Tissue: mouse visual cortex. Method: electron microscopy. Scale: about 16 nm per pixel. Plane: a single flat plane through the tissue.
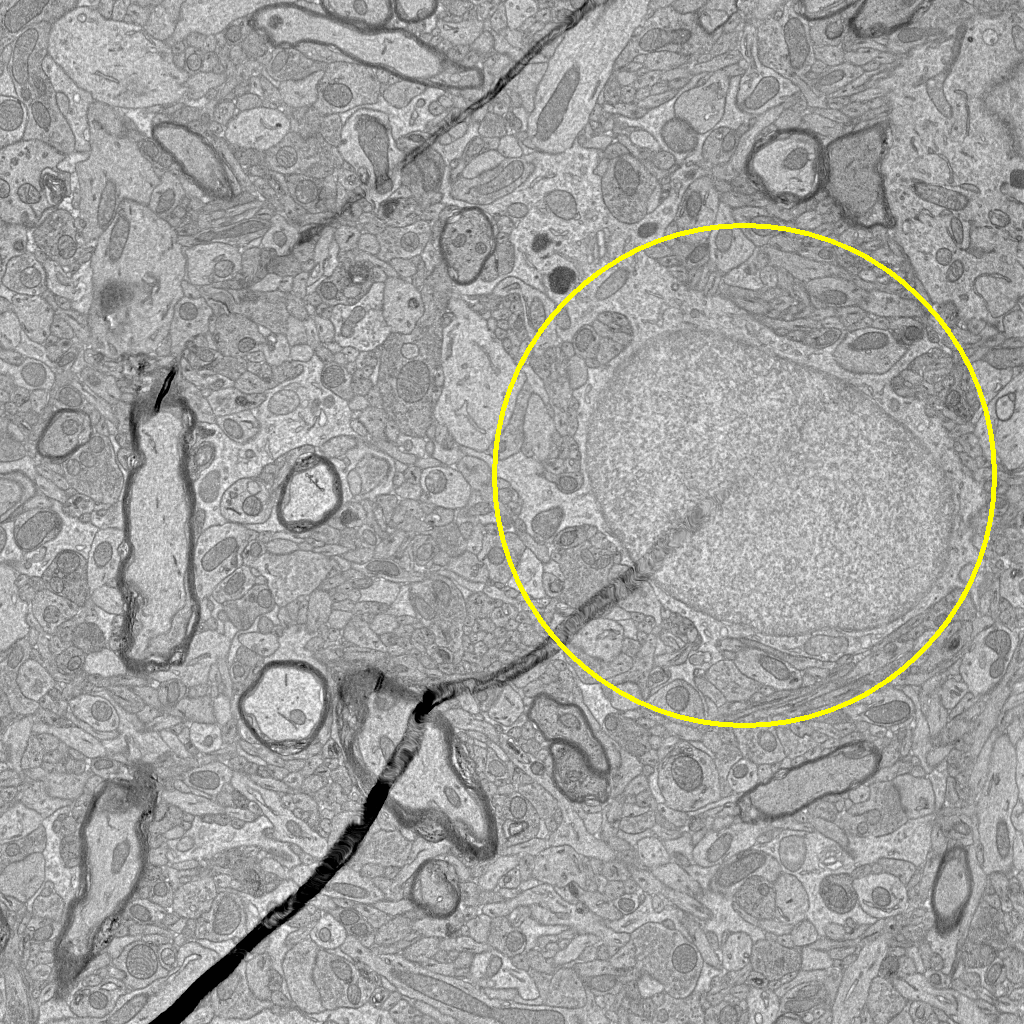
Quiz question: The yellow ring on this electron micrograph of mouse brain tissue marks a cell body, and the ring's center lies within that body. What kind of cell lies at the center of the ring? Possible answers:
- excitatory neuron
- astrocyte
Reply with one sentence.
The ring's center lies on an astrocyte.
